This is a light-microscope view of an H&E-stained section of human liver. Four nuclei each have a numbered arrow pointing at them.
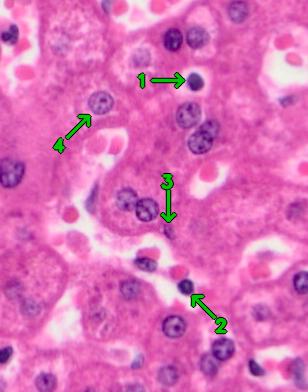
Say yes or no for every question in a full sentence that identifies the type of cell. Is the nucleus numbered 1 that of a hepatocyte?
No, that is wrong: cell 1 is a lymphocyte, and not a hepatocyte.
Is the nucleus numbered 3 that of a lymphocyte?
No, number 3 does not mark a lymphocyte; it marks a fibroblast or stellate cell.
